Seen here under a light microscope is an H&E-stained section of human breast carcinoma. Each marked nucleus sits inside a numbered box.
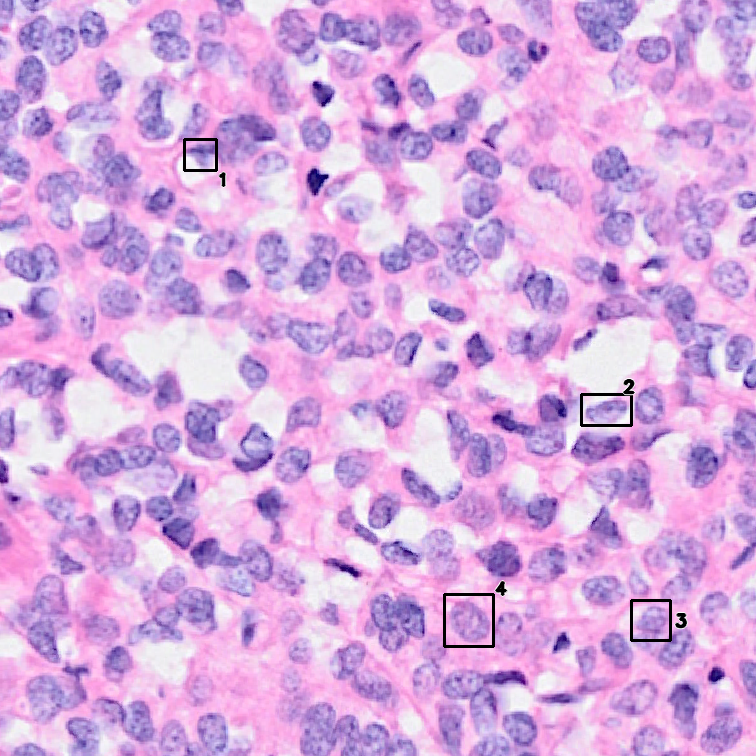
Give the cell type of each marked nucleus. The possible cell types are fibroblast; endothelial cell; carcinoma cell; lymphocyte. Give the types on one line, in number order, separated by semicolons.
endothelial cell; carcinoma cell; carcinoma cell; carcinoma cell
